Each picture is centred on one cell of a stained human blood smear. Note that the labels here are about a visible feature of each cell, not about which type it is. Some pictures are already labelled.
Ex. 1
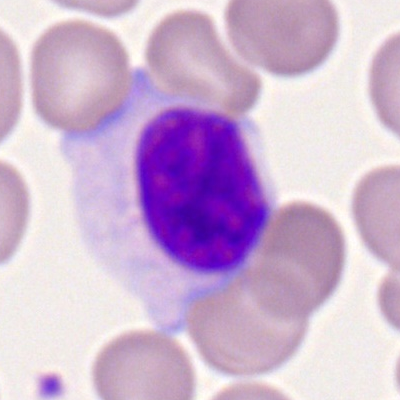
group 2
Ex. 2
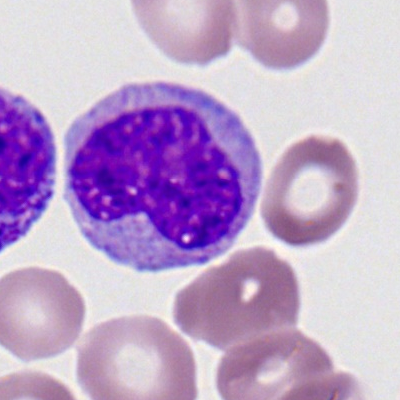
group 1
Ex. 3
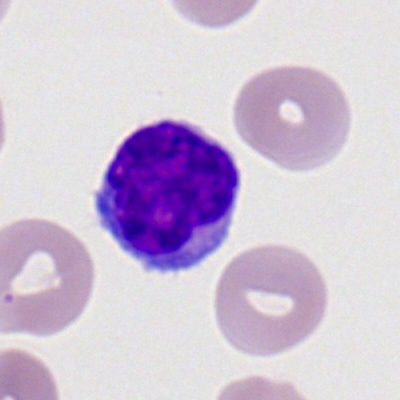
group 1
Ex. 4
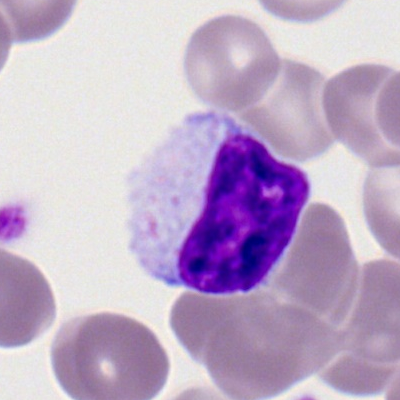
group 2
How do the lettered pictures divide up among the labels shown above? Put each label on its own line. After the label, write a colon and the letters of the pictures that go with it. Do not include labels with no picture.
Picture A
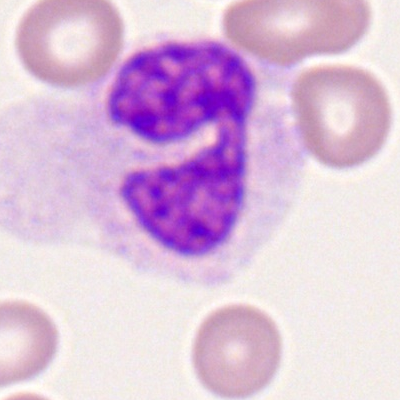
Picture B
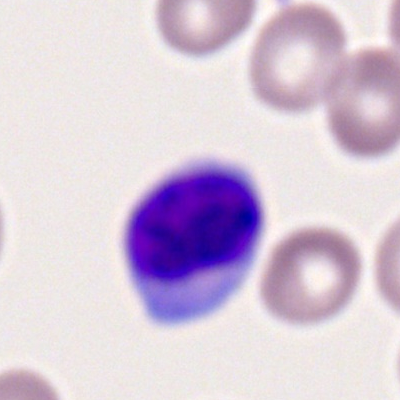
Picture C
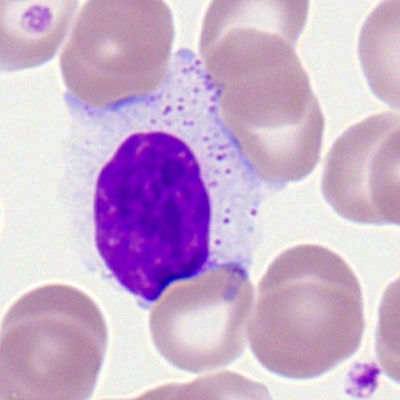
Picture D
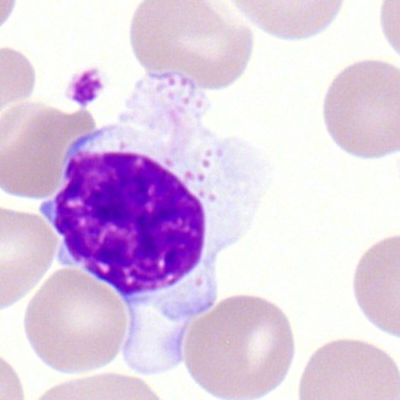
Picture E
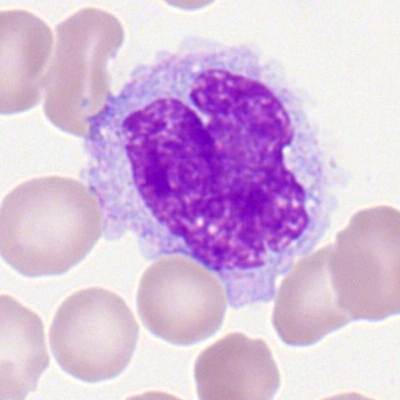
group 2: A, C, D, E
group 1: B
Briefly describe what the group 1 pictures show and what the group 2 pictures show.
group 1, scant cytoplasm; group 2, abundant cytoplasm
